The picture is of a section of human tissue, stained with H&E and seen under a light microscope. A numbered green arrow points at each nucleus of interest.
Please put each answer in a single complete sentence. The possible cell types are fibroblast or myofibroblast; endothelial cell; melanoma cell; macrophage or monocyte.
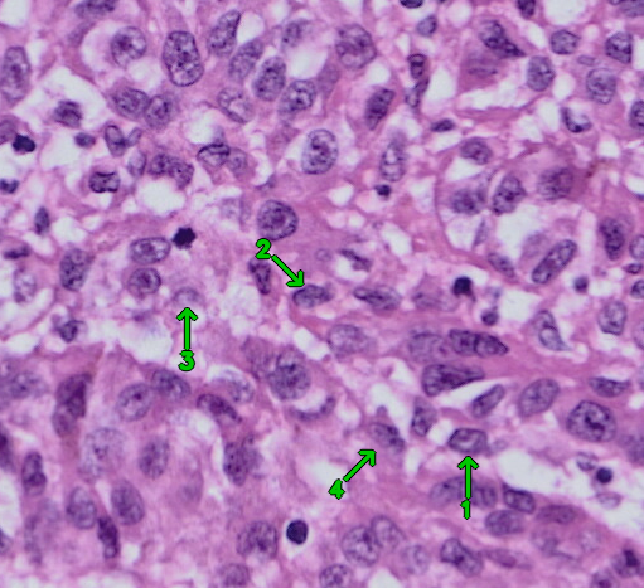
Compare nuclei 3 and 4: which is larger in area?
Of the two, number 4 is bigger and takes up about 2.5 times the area of number 3.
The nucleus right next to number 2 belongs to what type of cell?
It is a melanoma cell whose nucleus is nearest to number 2.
